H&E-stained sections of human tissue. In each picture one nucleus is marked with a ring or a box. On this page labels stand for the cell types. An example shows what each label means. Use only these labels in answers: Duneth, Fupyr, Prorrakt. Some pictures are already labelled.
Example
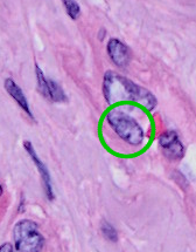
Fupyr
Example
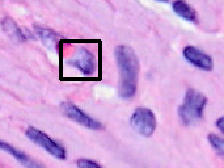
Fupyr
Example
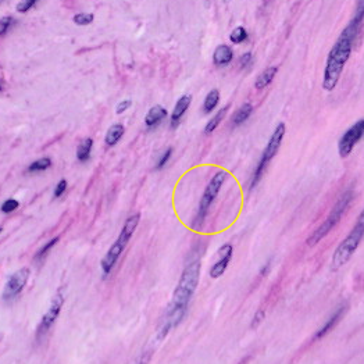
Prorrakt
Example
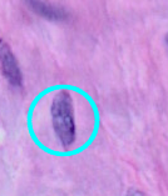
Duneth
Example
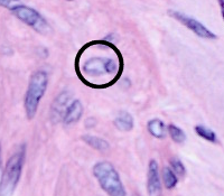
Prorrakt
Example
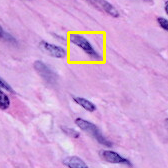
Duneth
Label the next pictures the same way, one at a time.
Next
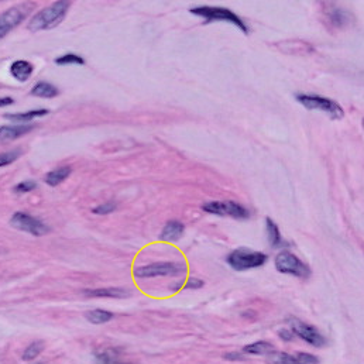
Prorrakt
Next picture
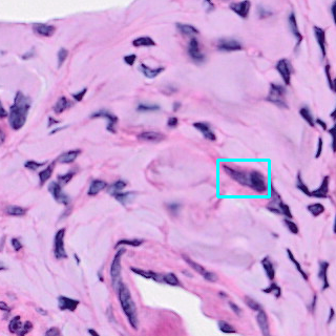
Fupyr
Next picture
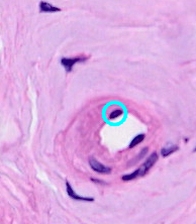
Fupyr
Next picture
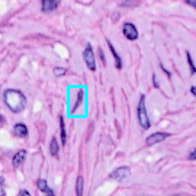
Duneth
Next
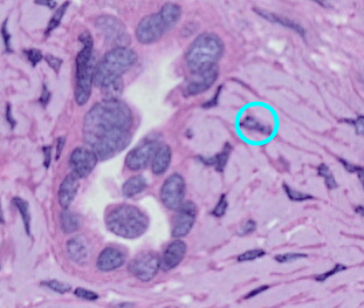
Duneth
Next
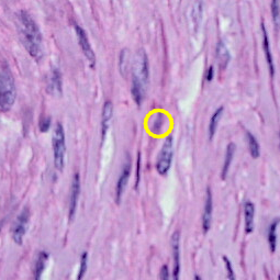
Duneth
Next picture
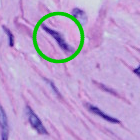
Duneth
